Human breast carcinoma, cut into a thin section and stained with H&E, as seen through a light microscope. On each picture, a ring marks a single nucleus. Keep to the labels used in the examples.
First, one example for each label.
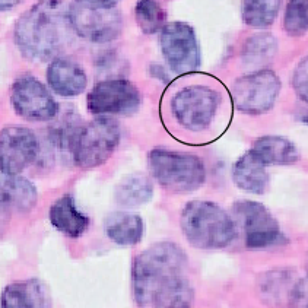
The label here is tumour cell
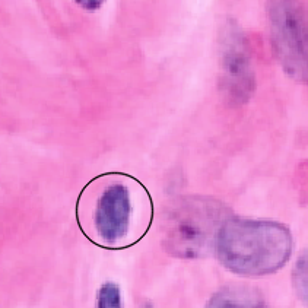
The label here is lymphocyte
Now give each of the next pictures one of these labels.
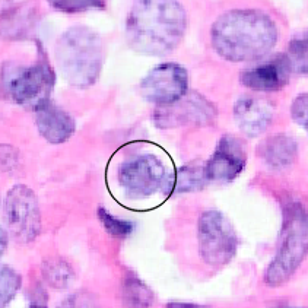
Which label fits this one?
tumour cell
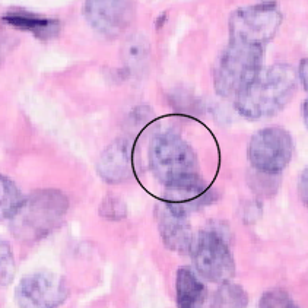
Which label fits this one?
tumour cell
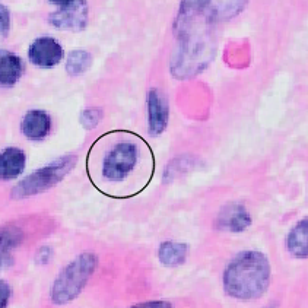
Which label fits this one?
lymphocyte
